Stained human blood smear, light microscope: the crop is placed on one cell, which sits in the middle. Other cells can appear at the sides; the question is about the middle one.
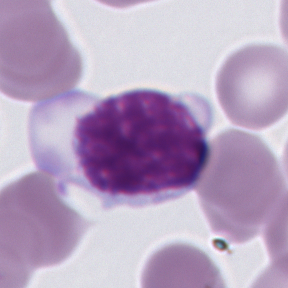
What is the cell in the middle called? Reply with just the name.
large granular lymphocyte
